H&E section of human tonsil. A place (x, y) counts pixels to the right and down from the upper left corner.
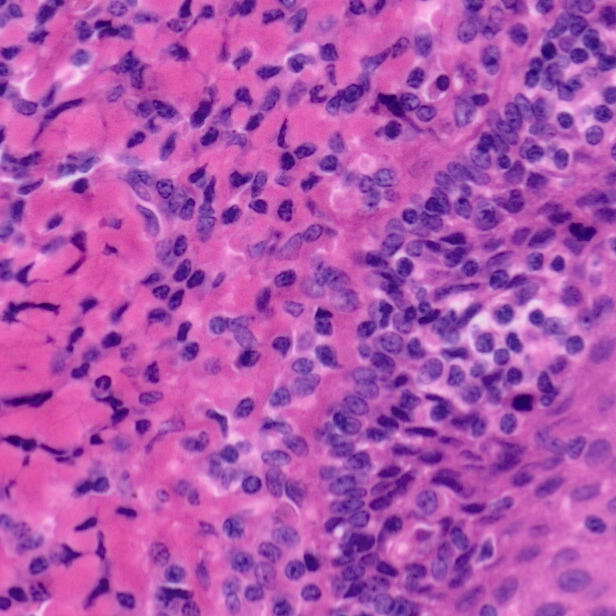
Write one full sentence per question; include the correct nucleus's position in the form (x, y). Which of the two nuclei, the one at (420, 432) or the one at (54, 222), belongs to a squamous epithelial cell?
Of the two nuclei, the nucleus belonging to a squamous epithelial cell is located at (420, 432).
